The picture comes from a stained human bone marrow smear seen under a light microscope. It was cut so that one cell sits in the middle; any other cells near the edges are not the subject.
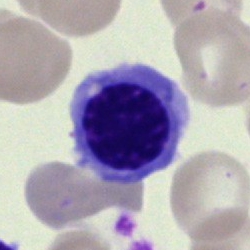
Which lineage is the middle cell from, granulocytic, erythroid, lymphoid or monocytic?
erythroid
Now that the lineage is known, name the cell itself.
erythroblast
